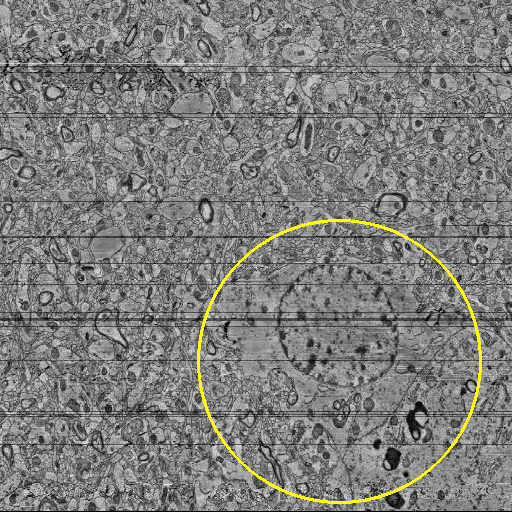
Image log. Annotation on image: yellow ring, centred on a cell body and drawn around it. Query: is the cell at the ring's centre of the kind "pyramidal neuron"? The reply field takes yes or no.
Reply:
no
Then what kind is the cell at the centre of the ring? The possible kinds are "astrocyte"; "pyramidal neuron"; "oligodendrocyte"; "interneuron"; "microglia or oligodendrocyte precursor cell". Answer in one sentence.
The ring holds an astrocyte at its centre.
